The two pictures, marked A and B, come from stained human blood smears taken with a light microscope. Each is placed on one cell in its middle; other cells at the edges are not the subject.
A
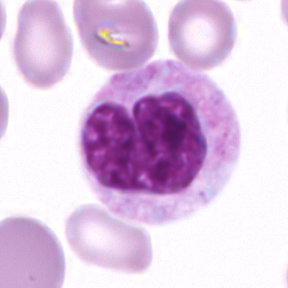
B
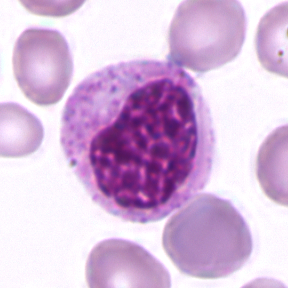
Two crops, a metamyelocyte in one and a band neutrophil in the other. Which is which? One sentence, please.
Crop A features a band neutrophil, while crop B features a metamyelocyte.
